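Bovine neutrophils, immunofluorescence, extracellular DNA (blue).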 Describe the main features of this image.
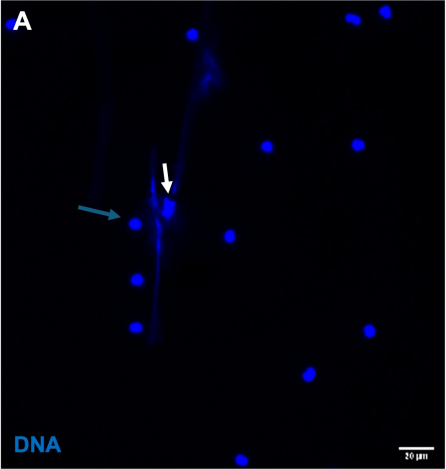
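Most cells appear as small, compact, oval or round blue nuclei, evenly scattered and well apart. In the centre a faint, thin blue streak runs up and down across the field, far longer than any cell, and a brighter small knot of blue sits on it, beside a separate intact round nucleus.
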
